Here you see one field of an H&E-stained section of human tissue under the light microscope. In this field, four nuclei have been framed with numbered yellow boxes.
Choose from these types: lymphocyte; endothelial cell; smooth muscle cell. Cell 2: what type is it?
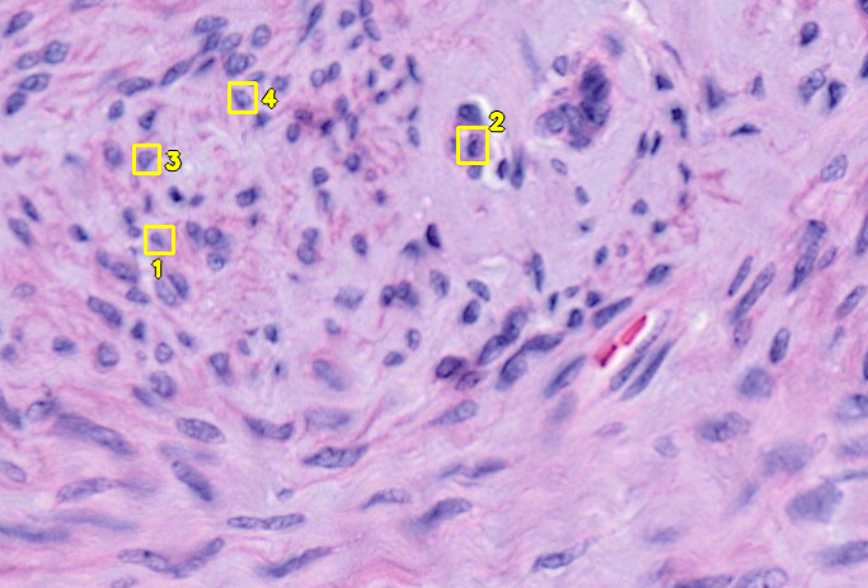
endothelial cell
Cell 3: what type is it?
smooth muscle cell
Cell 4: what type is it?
smooth muscle cell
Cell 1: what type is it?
smooth muscle cell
